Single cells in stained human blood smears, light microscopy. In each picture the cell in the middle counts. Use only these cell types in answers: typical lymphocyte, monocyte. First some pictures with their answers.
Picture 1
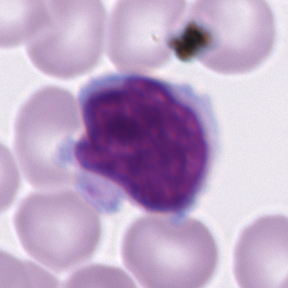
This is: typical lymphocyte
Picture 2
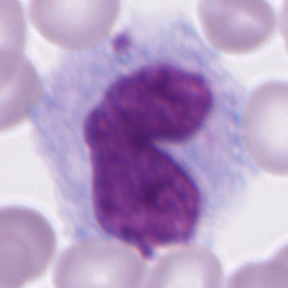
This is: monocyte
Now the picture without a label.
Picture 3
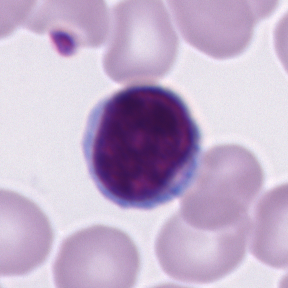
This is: typical lymphocyte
